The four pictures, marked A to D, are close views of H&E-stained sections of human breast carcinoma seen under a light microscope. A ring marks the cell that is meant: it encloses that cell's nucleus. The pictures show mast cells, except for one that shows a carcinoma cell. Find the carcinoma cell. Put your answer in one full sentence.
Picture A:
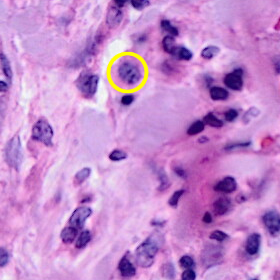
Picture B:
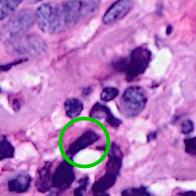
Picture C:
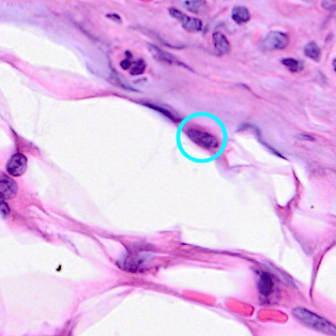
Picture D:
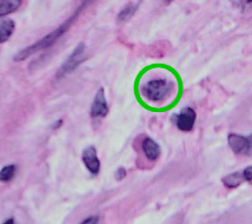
Picture B is the one that shows the carcinoma cell.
